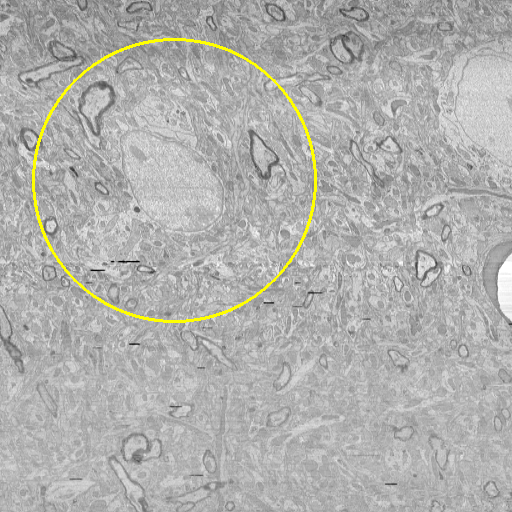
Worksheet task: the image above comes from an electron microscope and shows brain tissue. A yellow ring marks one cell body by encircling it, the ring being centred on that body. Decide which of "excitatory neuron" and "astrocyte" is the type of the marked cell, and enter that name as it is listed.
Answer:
astrocyte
